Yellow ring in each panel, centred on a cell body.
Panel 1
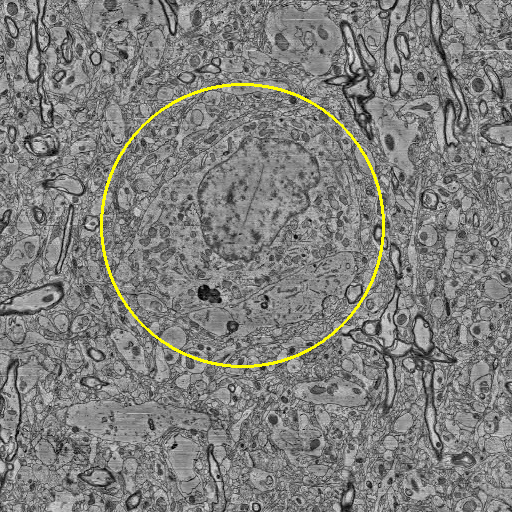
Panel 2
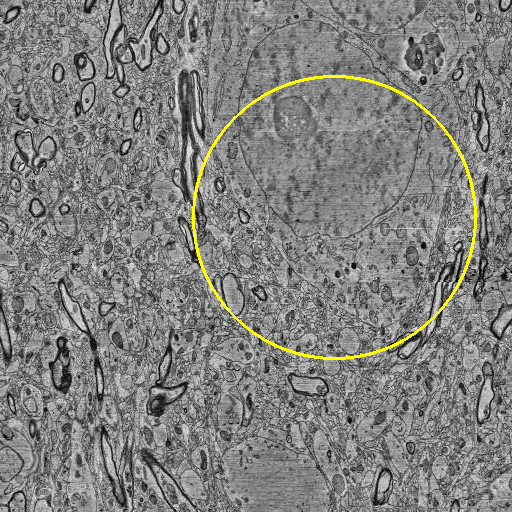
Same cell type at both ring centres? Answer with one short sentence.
No, the two cells are of two types.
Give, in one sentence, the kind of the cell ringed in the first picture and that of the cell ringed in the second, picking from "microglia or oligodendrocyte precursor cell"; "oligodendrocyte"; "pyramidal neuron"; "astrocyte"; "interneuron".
For the first picture it is an interneuron; for the second, a pyramidal neuron.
